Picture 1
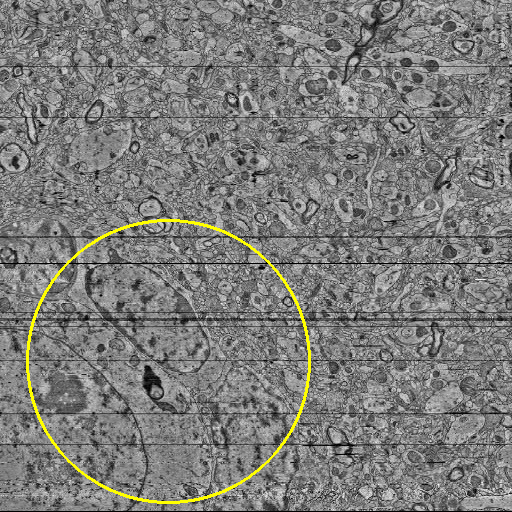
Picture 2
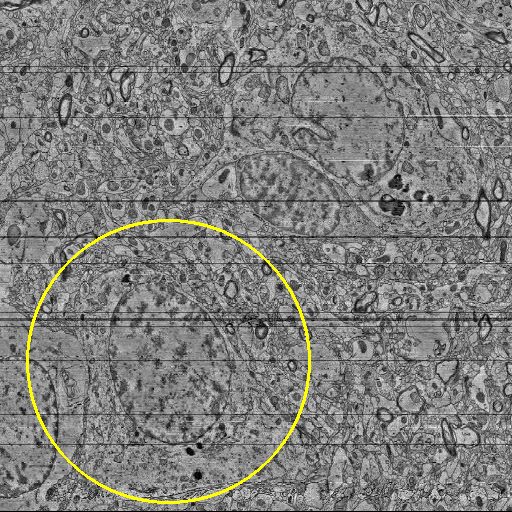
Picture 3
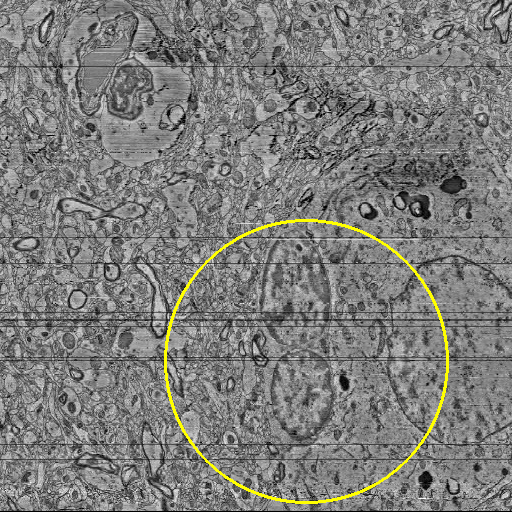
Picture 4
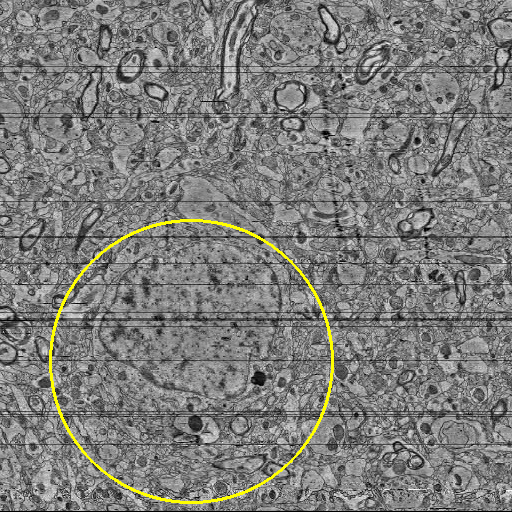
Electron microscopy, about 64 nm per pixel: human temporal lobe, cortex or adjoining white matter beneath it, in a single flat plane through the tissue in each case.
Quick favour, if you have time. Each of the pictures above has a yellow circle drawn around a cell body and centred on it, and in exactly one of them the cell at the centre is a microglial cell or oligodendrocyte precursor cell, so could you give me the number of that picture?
1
